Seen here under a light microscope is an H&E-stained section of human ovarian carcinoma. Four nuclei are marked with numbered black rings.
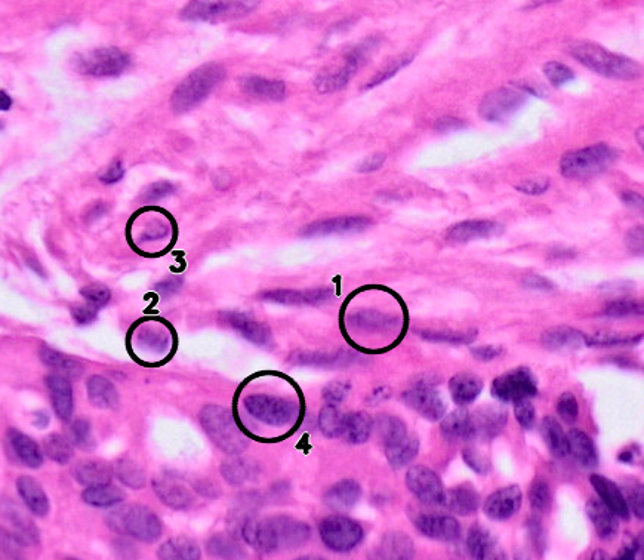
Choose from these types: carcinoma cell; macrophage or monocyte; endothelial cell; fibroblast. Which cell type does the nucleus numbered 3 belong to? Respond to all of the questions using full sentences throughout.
The correct label for cell 3 is a fibroblast.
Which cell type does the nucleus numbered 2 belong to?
The one labeled 2 is a fibroblast, to put it simply.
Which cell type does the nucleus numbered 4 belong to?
Belonging to a carcinoma cell is the nucleus that carries the number 4.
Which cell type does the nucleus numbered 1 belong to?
Cell 1 should be recorded as a fibroblast.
